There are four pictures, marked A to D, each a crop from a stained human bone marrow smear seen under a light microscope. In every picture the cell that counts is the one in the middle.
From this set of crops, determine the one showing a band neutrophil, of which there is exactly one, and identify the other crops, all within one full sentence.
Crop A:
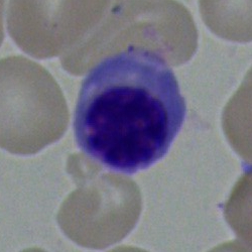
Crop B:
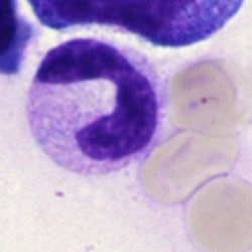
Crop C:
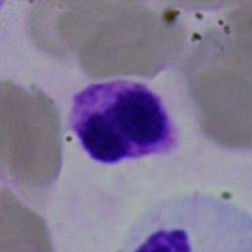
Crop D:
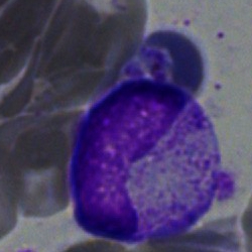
Crop B shows a band neutrophil, while in contrast crop A is an erythroblast, crop C is a basophil and crop D is a metamyelocyte.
